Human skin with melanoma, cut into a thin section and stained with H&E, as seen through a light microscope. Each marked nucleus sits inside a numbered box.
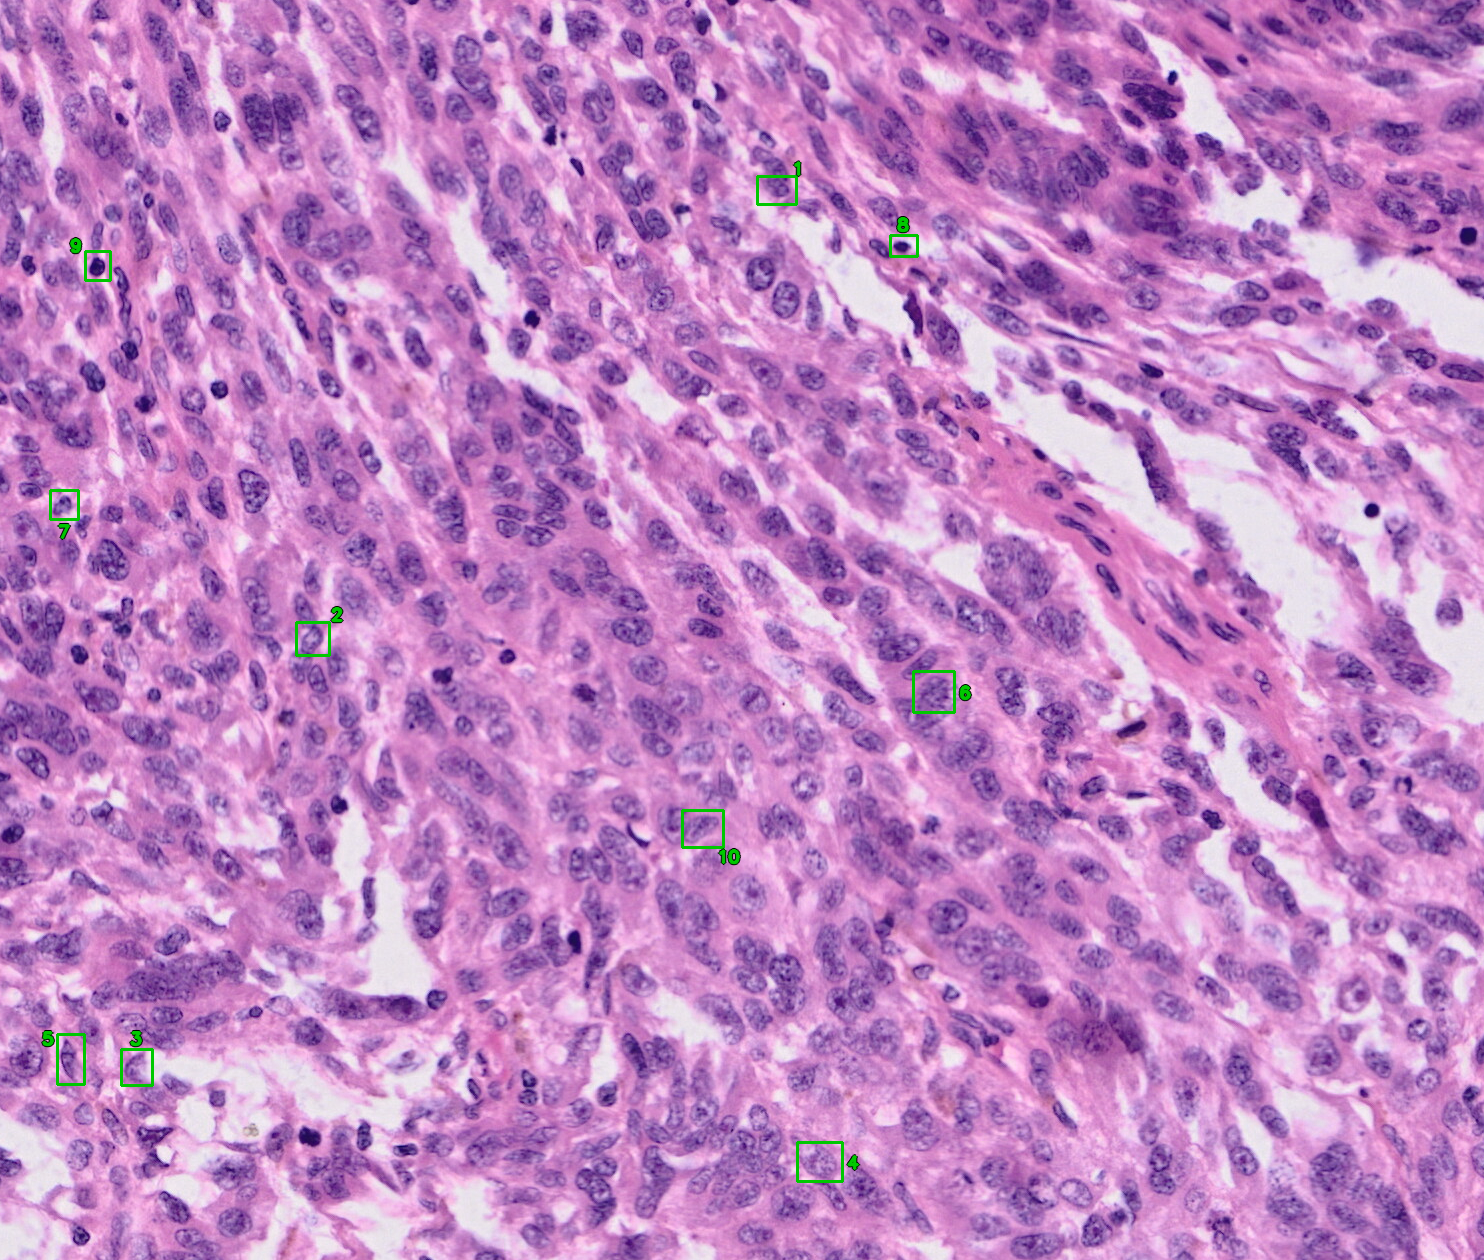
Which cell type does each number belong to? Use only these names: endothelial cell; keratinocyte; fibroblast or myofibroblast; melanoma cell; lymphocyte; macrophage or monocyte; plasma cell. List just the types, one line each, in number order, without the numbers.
melanoma cell
melanoma cell
melanoma cell
melanoma cell
macrophage or monocyte
melanoma cell
lymphocyte
lymphocyte
lymphocyte
melanoma cell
